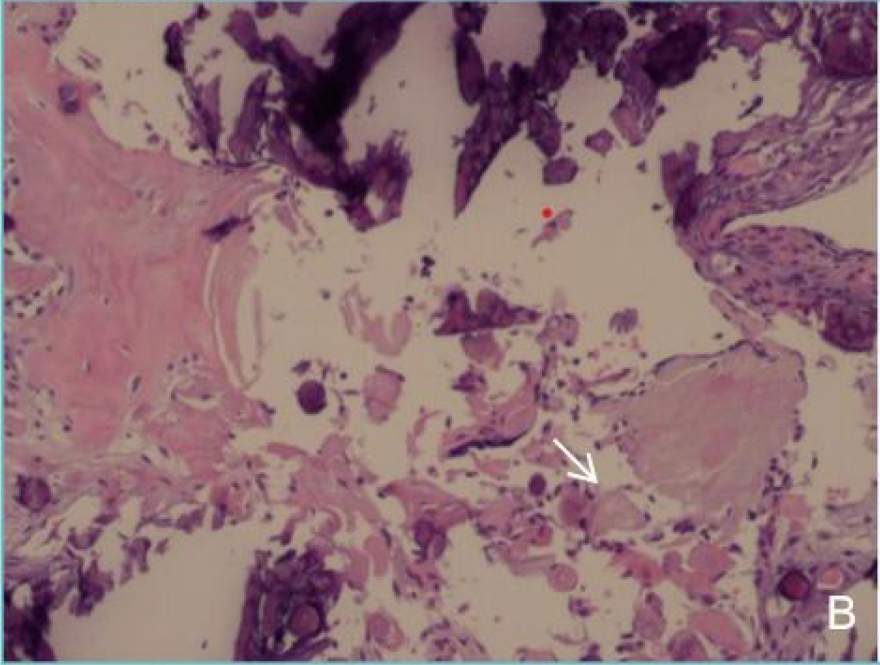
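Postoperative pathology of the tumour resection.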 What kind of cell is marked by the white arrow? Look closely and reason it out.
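The arrow points to pale pink round to oval bodies with sharp outlines. These bodies show no stained nucleus. Dark purple irregular fragments lie near them.
Answer: shadow cells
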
